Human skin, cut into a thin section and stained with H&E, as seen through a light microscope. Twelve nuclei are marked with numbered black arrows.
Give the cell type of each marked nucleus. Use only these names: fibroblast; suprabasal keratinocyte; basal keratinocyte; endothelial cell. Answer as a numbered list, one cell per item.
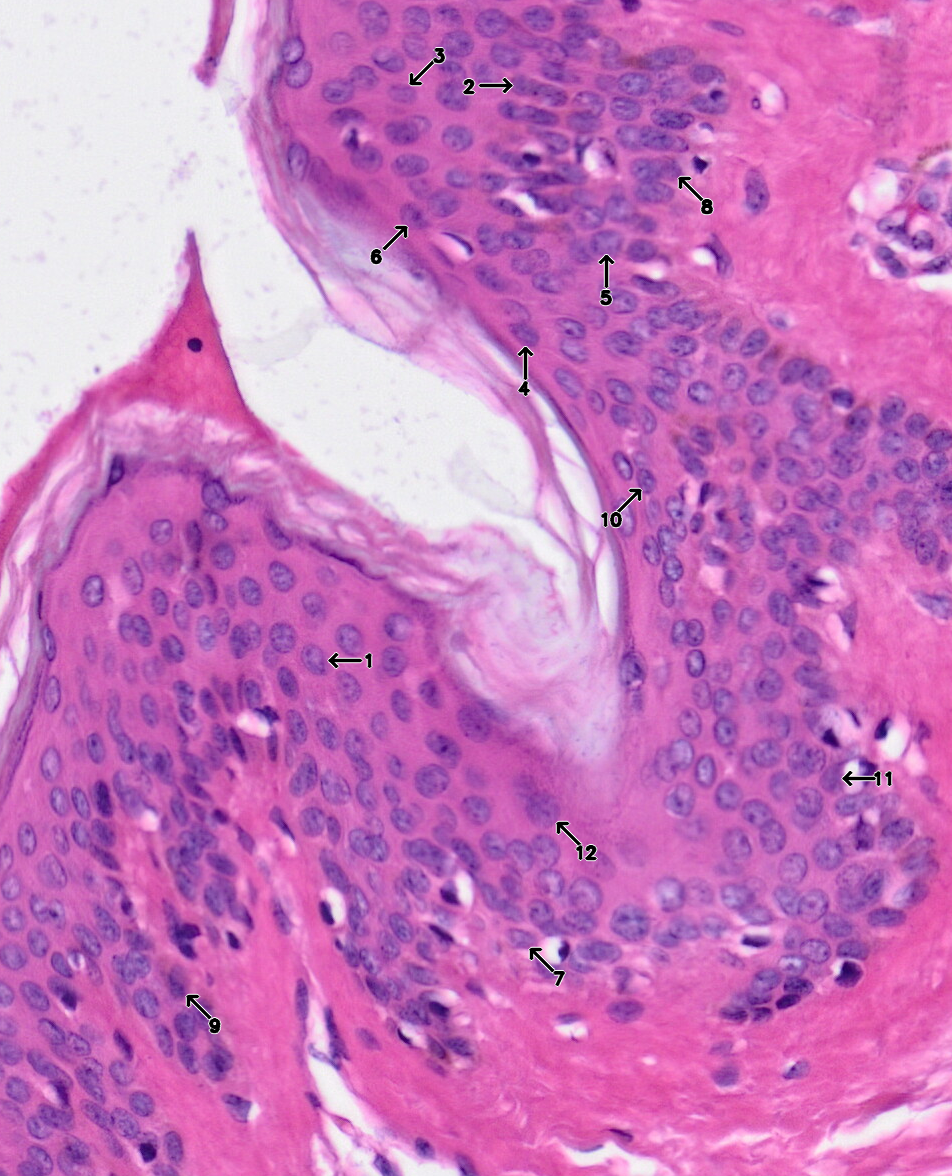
1. suprabasal keratinocyte
2. basal keratinocyte
3. suprabasal keratinocyte
4. suprabasal keratinocyte
5. suprabasal keratinocyte
6. suprabasal keratinocyte
7. basal keratinocyte
8. basal keratinocyte
9. basal keratinocyte
10. suprabasal keratinocyte
11. basal keratinocyte
12. suprabasal keratinocyte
